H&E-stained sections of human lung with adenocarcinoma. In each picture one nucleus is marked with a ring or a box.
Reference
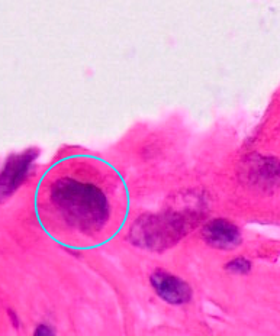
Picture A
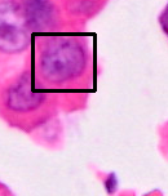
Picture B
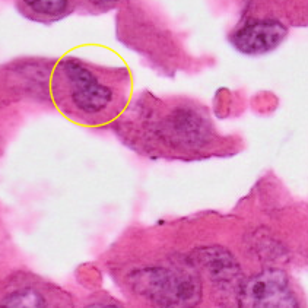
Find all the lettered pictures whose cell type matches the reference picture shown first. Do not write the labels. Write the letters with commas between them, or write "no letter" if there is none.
A, B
